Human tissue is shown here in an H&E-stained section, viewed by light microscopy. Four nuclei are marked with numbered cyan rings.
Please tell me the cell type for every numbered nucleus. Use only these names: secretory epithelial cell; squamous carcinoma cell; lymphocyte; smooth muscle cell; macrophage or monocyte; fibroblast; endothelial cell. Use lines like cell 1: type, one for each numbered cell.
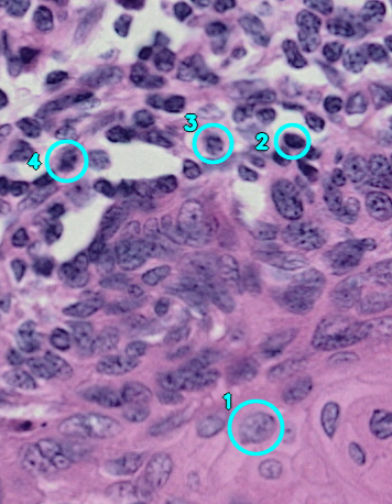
cell 1: squamous carcinoma cell
cell 2: lymphocyte
cell 3: lymphocyte
cell 4: lymphocyte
